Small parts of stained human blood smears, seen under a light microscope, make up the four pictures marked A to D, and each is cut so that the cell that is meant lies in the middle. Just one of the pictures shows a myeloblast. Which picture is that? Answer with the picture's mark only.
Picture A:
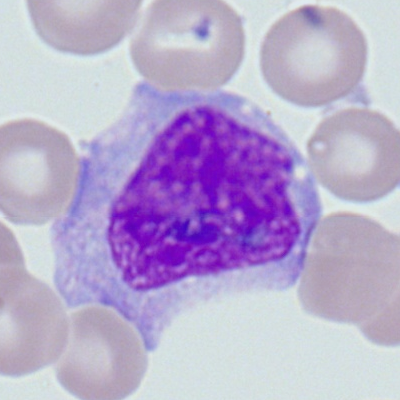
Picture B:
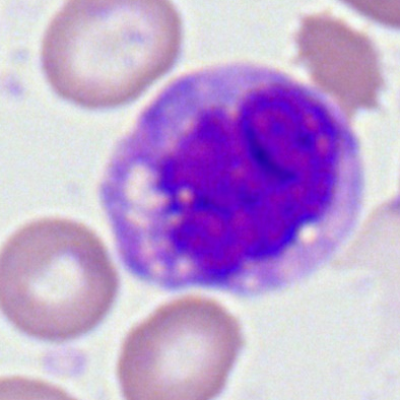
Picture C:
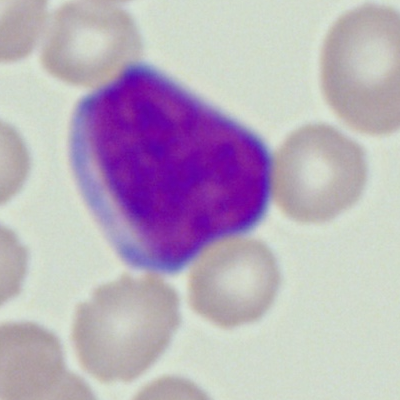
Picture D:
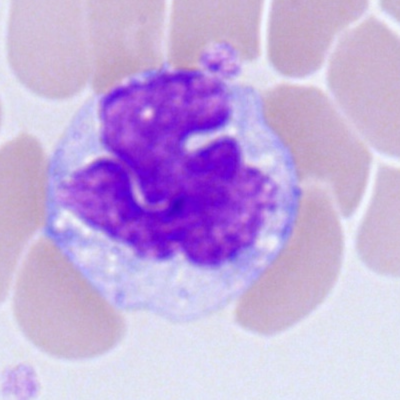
C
